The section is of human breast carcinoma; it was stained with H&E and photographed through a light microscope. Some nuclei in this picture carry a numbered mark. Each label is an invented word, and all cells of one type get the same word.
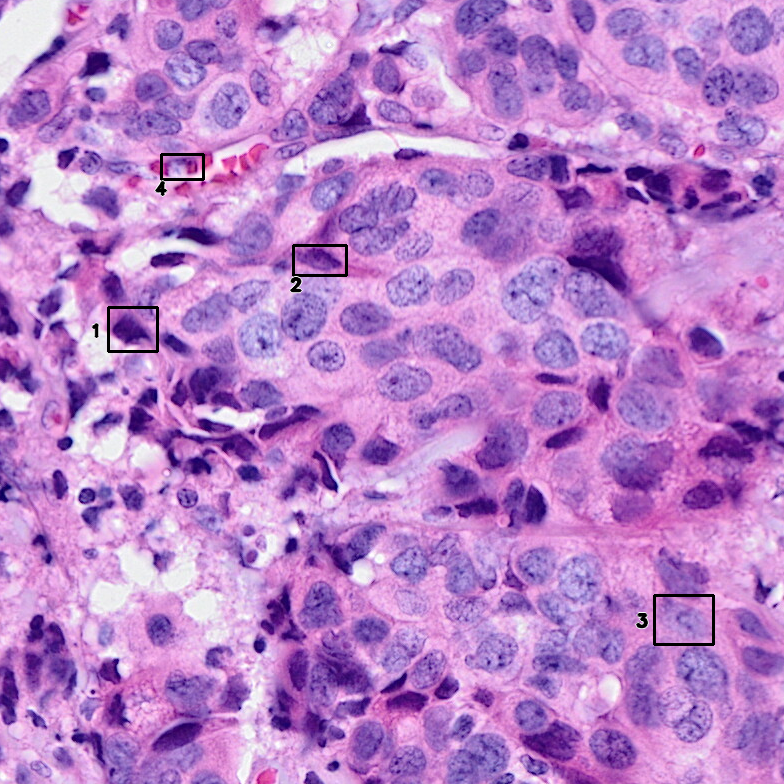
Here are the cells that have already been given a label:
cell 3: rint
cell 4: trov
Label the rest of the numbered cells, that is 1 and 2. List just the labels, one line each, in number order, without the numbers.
rint
rint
